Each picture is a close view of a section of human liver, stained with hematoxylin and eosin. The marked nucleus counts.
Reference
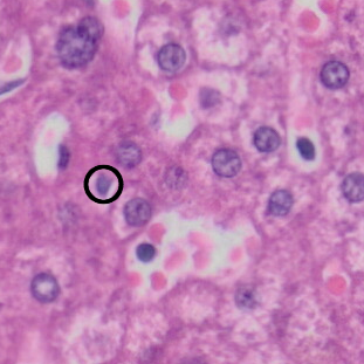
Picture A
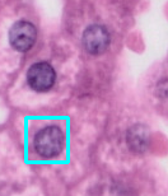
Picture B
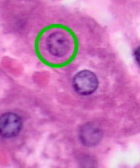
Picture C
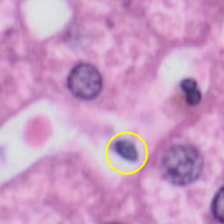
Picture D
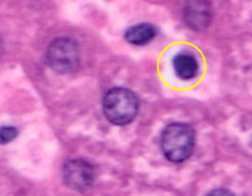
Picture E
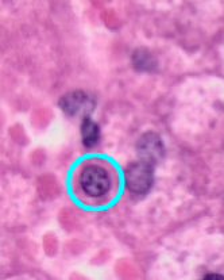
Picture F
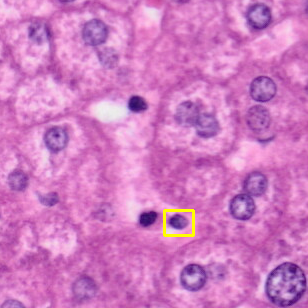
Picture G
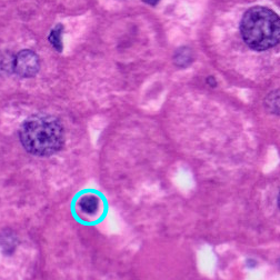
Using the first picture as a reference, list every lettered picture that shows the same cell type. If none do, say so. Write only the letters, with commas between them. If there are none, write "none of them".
C, D, F, G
